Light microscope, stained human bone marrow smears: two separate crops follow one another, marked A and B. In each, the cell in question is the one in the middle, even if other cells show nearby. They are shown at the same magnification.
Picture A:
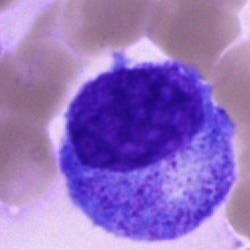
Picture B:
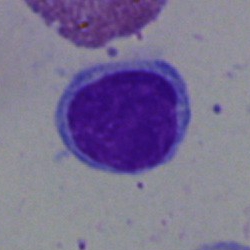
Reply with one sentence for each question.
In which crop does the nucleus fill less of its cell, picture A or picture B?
Of the two, the nucleus in picture A leaves more room for cytoplasm.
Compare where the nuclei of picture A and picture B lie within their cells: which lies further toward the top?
In picture A the nucleus is shifted more toward the top.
